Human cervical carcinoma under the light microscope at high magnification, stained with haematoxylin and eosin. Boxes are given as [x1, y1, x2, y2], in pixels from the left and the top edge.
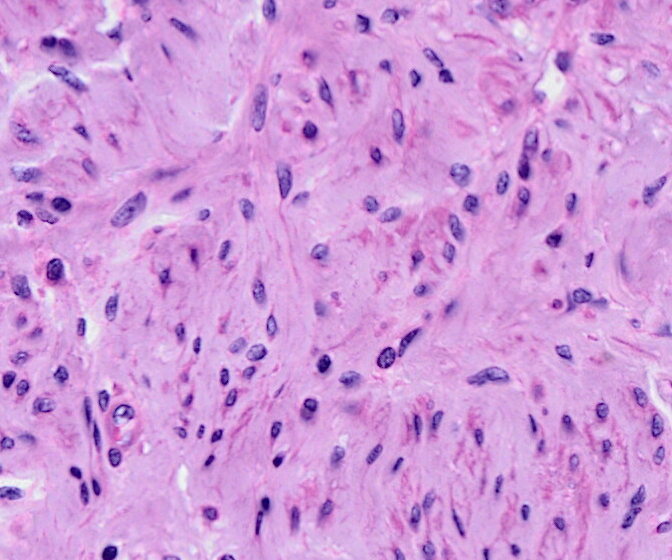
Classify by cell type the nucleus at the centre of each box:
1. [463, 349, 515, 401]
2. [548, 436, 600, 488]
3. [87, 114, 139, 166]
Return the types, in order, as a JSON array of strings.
["fibroblast", "smooth muscle cell", "smooth muscle cell"]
